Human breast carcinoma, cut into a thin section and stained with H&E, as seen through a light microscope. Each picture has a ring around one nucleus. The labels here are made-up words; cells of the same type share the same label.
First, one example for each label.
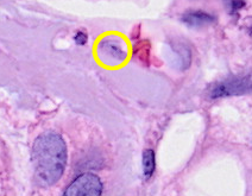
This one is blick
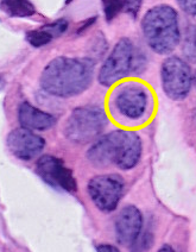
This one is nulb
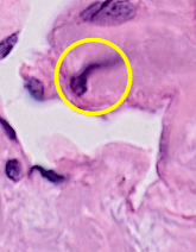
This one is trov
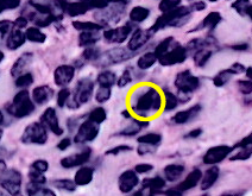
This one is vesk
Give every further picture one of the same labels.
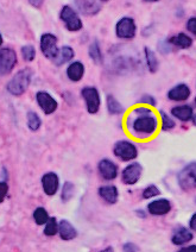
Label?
vesk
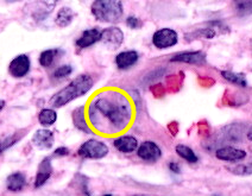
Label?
blick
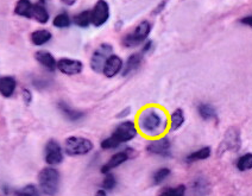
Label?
vesk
